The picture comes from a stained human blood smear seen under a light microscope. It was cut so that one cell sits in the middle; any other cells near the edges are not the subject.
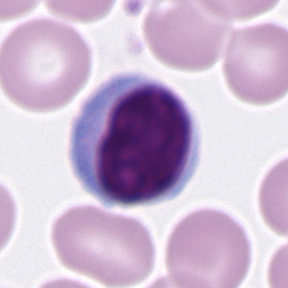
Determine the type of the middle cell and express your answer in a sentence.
In short, the cell at the center is a lymphocyte.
